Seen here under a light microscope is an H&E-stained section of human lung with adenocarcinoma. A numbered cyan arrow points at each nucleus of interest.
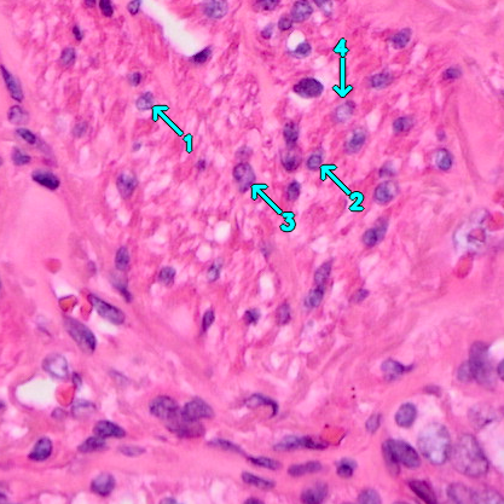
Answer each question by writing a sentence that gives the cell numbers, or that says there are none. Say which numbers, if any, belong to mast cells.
Cell 3 is a mast cell, which is true of none of the other numbered cells.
